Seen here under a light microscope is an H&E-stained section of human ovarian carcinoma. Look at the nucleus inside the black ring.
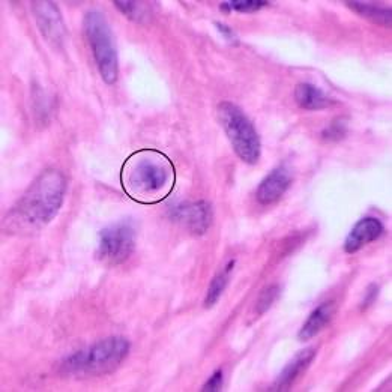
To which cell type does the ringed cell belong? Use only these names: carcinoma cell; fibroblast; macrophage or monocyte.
fibroblast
